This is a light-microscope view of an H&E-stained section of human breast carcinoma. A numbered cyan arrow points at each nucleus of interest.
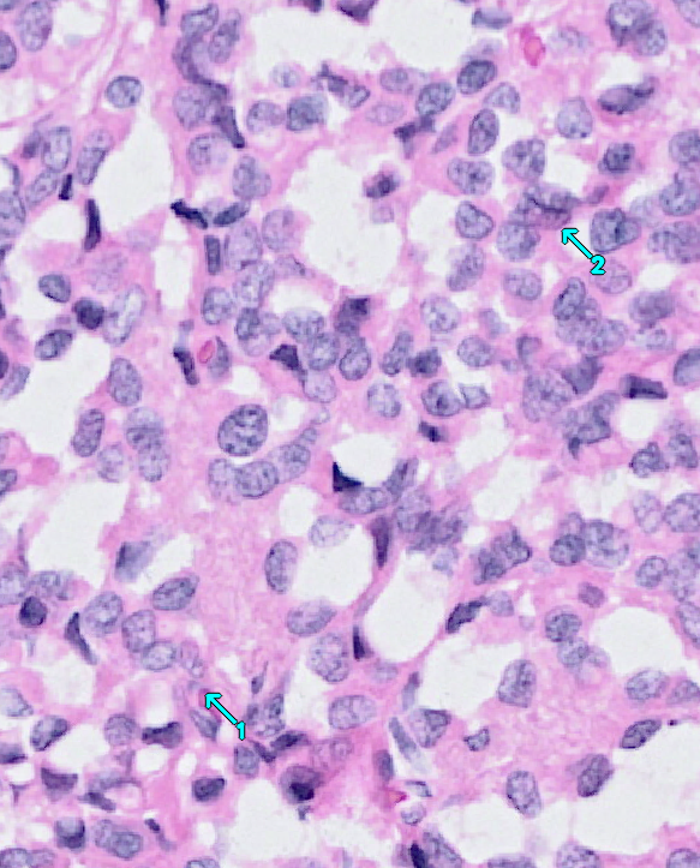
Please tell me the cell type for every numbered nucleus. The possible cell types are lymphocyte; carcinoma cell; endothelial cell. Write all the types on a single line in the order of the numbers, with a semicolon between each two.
endothelial cell; carcinoma cell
